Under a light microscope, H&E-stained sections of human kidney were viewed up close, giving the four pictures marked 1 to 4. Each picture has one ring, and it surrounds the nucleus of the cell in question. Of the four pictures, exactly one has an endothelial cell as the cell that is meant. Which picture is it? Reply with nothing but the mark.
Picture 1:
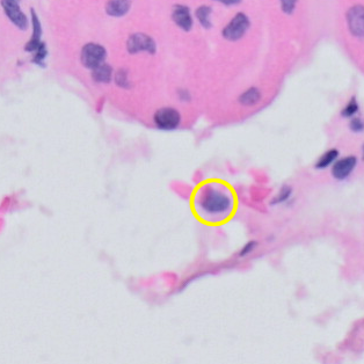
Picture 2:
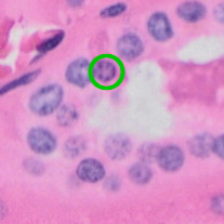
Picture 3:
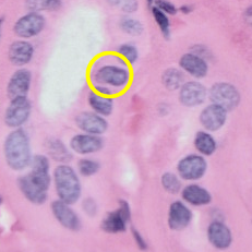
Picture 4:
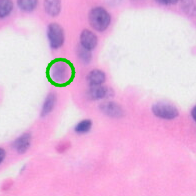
1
